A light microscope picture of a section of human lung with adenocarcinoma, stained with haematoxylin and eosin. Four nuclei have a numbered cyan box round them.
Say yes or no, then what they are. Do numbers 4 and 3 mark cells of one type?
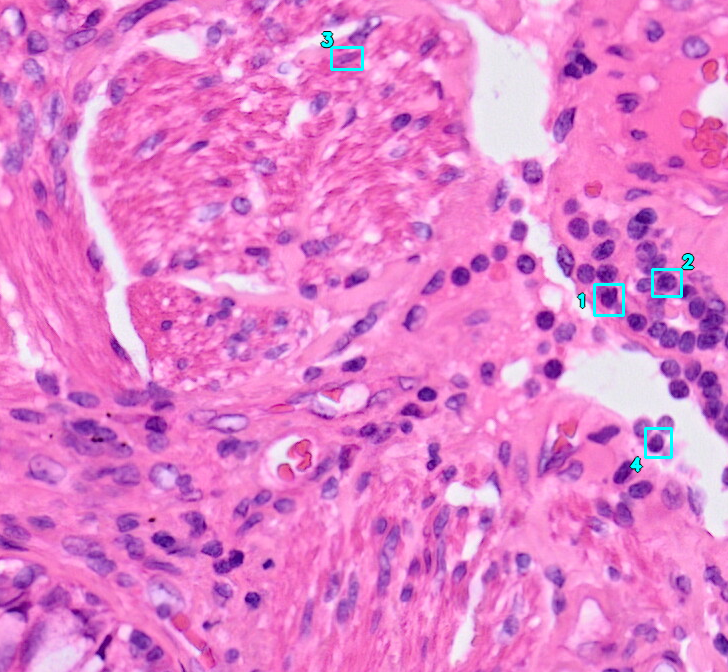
No, cell 4 is a lymphocyte and cell 3, for its part, is a smooth muscle cell or pericyte.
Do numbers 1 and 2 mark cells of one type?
Yes, cells 1 and 2 both qualify as lymphocytes.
